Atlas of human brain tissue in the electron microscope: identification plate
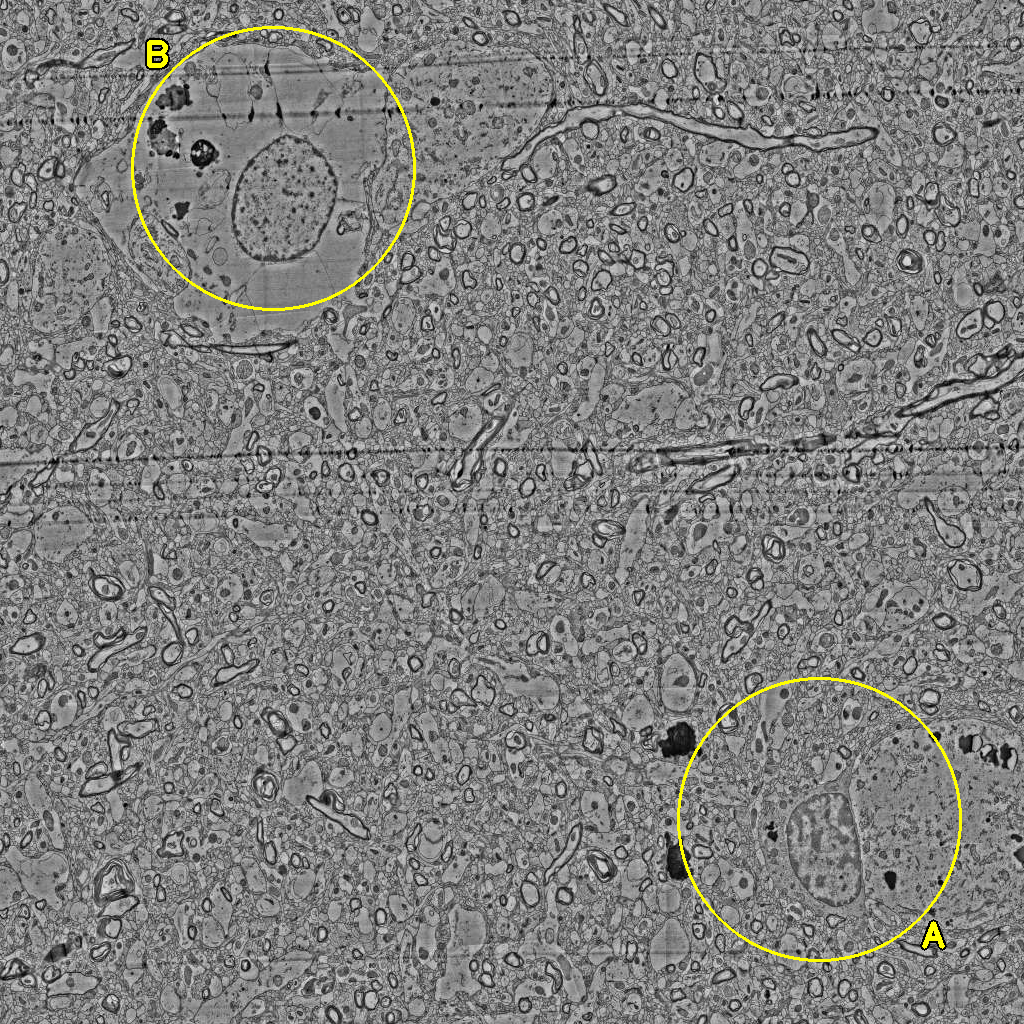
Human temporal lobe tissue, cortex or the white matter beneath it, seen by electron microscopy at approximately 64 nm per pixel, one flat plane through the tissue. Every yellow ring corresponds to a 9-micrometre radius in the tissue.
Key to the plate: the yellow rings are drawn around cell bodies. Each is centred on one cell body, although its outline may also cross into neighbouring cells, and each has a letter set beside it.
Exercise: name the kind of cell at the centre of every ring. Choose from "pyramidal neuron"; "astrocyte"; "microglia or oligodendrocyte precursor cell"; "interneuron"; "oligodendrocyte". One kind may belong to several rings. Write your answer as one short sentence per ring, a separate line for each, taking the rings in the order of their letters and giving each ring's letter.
The centre of ring A is occupied by an oligodendrocyte.
The centre of ring B is occupied by an astrocyte.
